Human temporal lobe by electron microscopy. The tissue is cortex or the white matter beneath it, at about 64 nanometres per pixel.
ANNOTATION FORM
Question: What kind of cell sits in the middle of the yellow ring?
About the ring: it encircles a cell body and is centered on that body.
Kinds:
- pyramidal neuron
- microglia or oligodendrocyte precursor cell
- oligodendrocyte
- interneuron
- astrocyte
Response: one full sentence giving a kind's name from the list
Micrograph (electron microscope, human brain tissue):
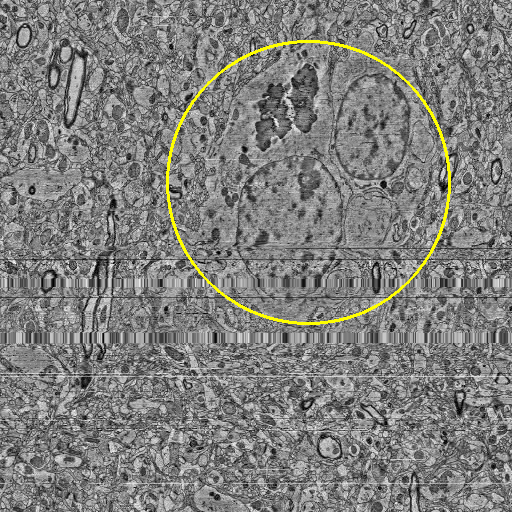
The kind of cell found at the center of the yellow ring in the micrograph is an astrocyte.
